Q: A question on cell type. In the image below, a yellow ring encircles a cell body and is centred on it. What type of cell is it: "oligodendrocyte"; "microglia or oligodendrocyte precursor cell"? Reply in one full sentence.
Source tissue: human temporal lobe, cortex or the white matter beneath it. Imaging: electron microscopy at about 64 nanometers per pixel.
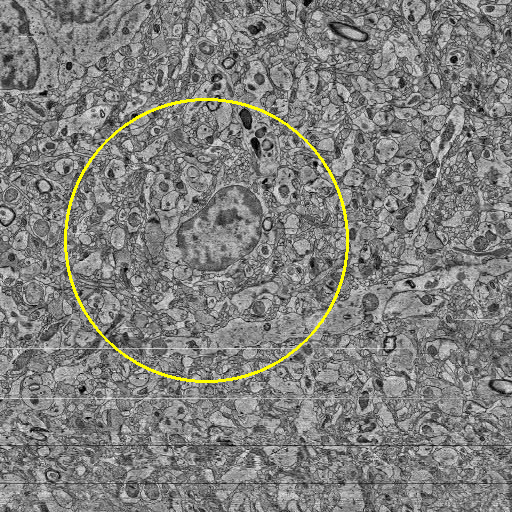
It is a microglial cell or oligodendrocyte precursor cell whose cell body sits at the centre of the yellow ring in the image.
